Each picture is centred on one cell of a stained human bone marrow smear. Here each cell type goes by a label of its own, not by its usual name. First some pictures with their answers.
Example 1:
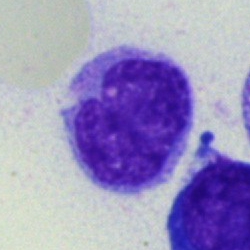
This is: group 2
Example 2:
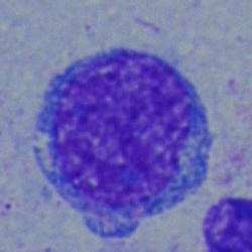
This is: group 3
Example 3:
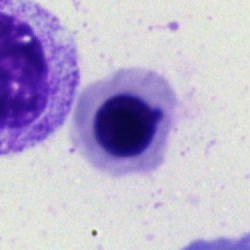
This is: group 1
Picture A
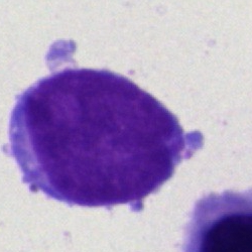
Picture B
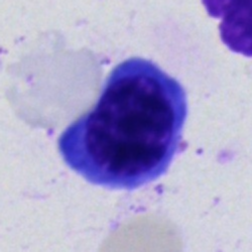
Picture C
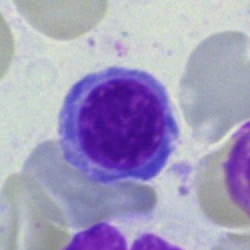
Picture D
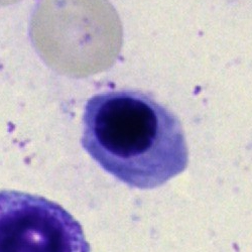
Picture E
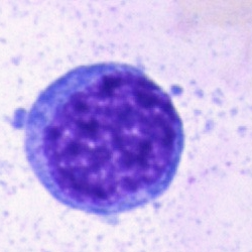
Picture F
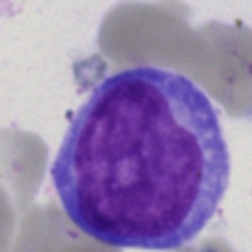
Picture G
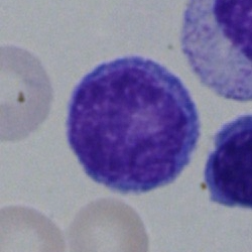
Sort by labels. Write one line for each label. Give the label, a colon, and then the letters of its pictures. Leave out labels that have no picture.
group 3: A, E, F, G
group 1: B, C, D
